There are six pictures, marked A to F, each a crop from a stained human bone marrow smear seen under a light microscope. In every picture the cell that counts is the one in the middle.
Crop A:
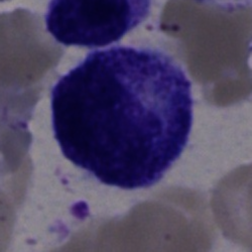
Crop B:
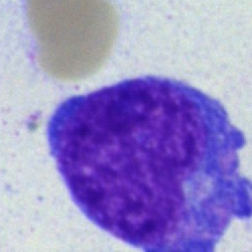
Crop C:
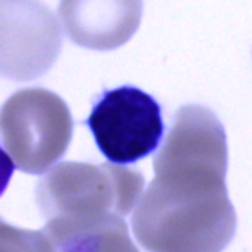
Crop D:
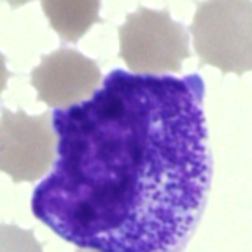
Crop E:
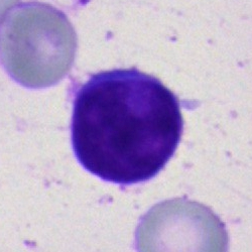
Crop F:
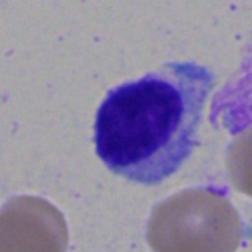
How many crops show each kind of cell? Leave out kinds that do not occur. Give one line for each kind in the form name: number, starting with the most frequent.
lymphocyte: 3
promyelocyte: 2
blast: 1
